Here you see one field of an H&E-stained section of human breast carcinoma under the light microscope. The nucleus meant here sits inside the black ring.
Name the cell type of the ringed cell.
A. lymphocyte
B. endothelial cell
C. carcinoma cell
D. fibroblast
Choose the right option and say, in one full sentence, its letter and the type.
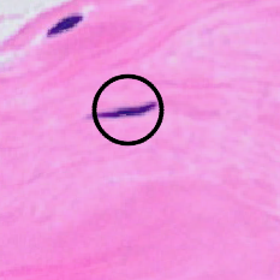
The right pick is option D; the ringed cell is a fibroblast.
